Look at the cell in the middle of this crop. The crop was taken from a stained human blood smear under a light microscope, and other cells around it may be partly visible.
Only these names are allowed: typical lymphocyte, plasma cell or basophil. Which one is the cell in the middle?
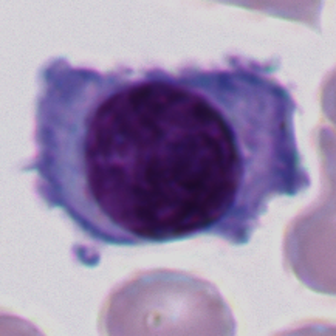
plasma cell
